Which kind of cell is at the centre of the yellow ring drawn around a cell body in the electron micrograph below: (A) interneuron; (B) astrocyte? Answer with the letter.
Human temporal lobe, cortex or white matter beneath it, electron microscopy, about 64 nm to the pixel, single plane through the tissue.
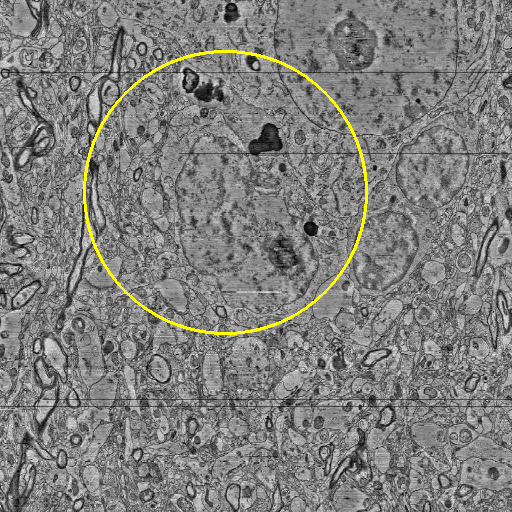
A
